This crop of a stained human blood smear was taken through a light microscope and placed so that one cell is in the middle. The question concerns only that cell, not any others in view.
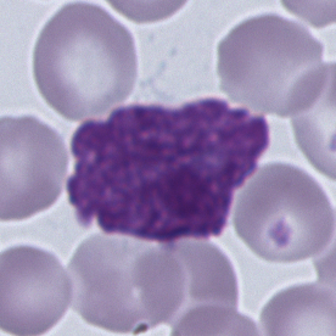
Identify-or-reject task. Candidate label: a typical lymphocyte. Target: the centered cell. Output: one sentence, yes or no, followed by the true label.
No, what occupies the middle of the crop is a smudge cell and not a typical lymphocyte.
